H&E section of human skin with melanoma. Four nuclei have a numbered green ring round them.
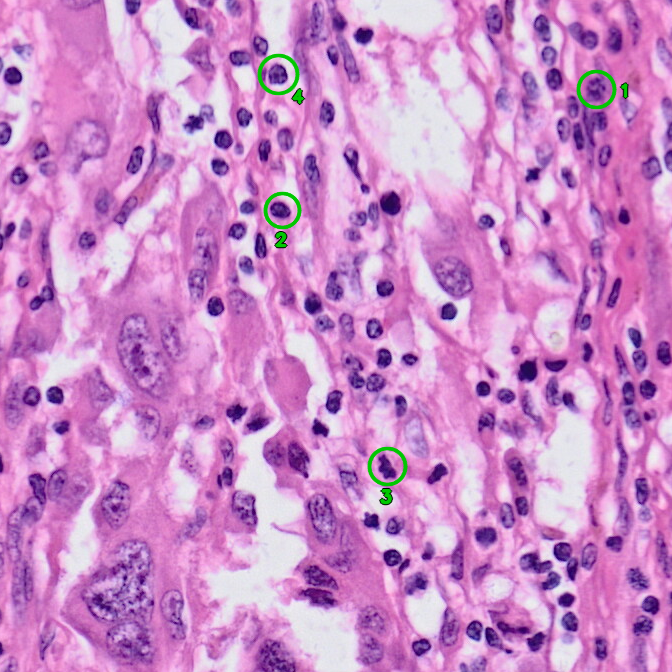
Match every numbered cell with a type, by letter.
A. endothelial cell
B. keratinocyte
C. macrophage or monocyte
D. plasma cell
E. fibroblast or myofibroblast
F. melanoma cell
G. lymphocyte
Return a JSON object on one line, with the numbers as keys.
{"1": "D", "2": "G", "3": "G", "4": "G"}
